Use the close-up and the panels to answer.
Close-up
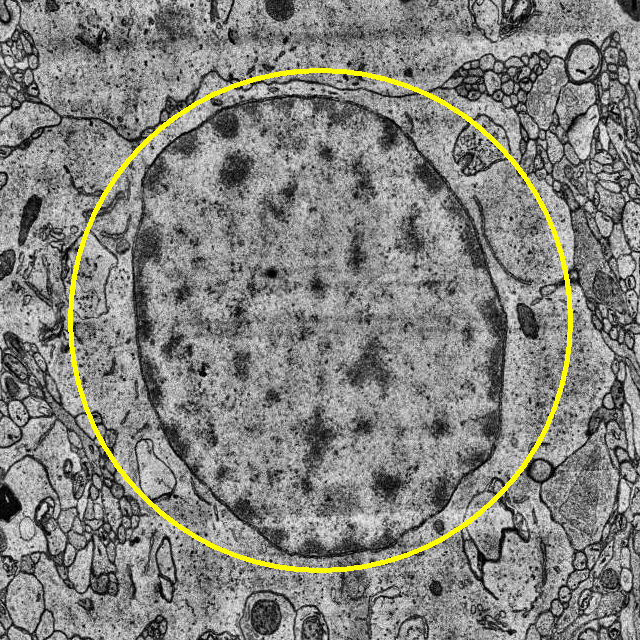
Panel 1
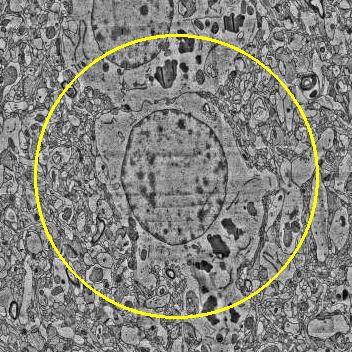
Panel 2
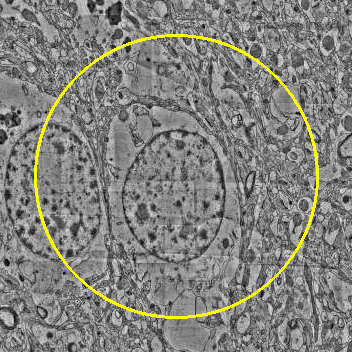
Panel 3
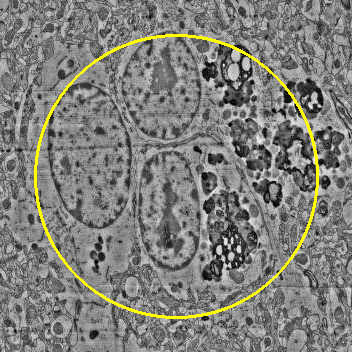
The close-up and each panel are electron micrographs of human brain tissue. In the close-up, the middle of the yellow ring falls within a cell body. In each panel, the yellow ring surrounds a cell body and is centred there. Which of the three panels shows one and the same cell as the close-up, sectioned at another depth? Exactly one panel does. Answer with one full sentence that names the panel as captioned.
The close-up captures the cell that carries a yellow ring in Panel 1.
